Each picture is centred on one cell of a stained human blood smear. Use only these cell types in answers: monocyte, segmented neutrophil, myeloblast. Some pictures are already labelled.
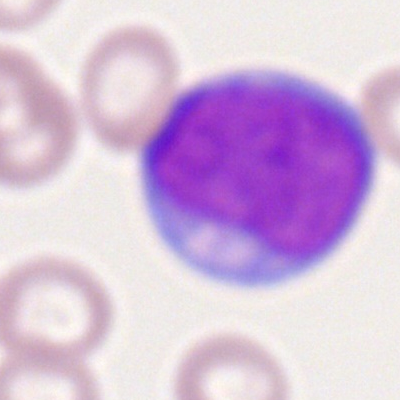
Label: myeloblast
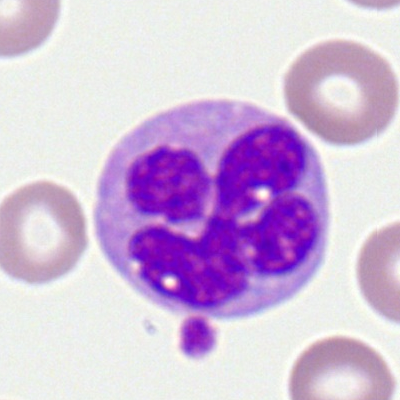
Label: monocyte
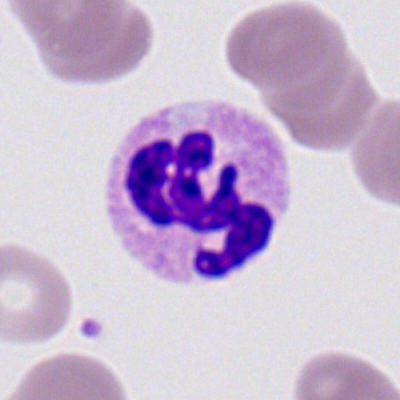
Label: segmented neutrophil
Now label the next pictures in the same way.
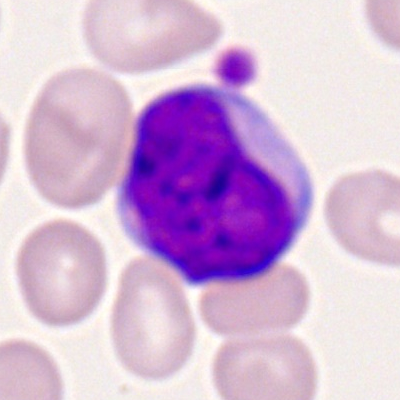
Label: myeloblast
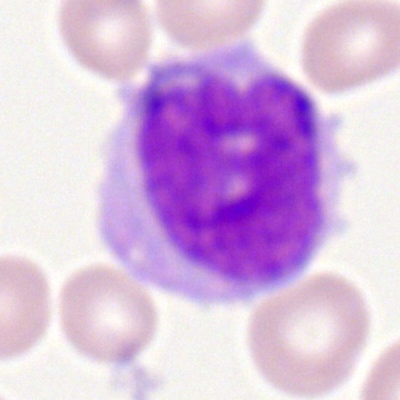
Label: monocyte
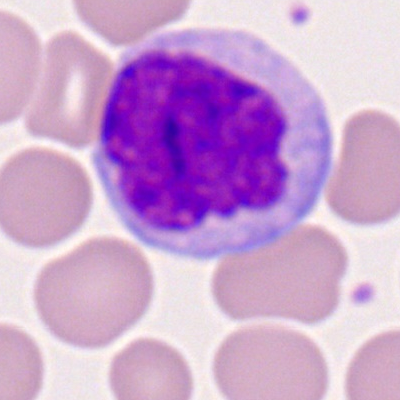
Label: monocyte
